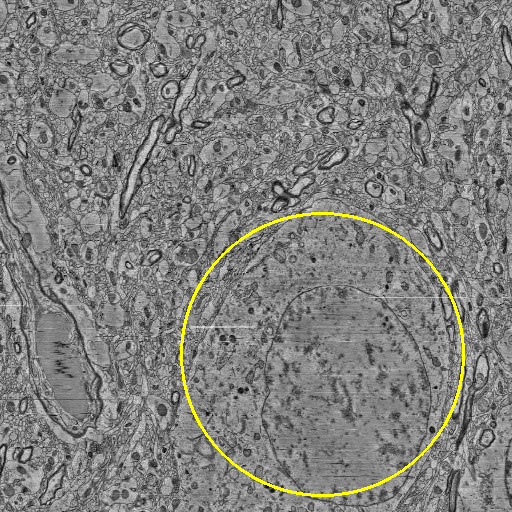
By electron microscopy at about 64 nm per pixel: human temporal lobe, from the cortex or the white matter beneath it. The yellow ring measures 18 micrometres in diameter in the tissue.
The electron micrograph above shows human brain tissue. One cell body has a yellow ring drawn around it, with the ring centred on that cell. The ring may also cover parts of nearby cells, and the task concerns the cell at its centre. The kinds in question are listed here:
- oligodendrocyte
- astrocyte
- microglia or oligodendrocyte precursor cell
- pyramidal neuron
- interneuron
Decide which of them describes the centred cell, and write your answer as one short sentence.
The centred cell is a pyramidal neuron.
